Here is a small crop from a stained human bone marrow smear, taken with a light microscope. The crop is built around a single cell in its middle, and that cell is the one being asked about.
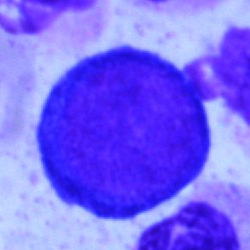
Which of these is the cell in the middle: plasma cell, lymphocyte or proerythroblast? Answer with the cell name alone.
proerythroblast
